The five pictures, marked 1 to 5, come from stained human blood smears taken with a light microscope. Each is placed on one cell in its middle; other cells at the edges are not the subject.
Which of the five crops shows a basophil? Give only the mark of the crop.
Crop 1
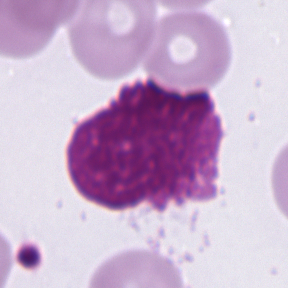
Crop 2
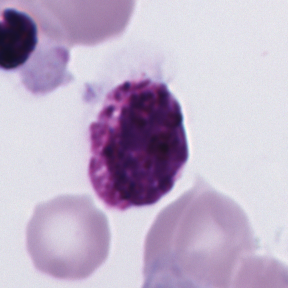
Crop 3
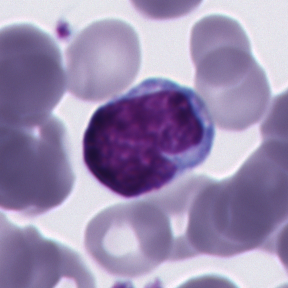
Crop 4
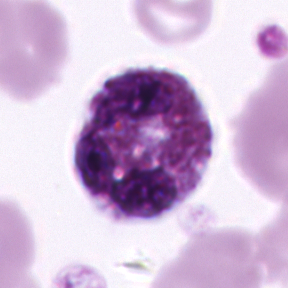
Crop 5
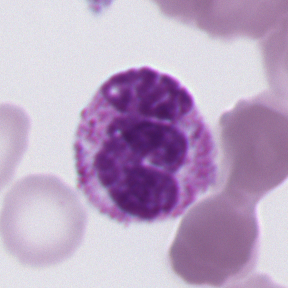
2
